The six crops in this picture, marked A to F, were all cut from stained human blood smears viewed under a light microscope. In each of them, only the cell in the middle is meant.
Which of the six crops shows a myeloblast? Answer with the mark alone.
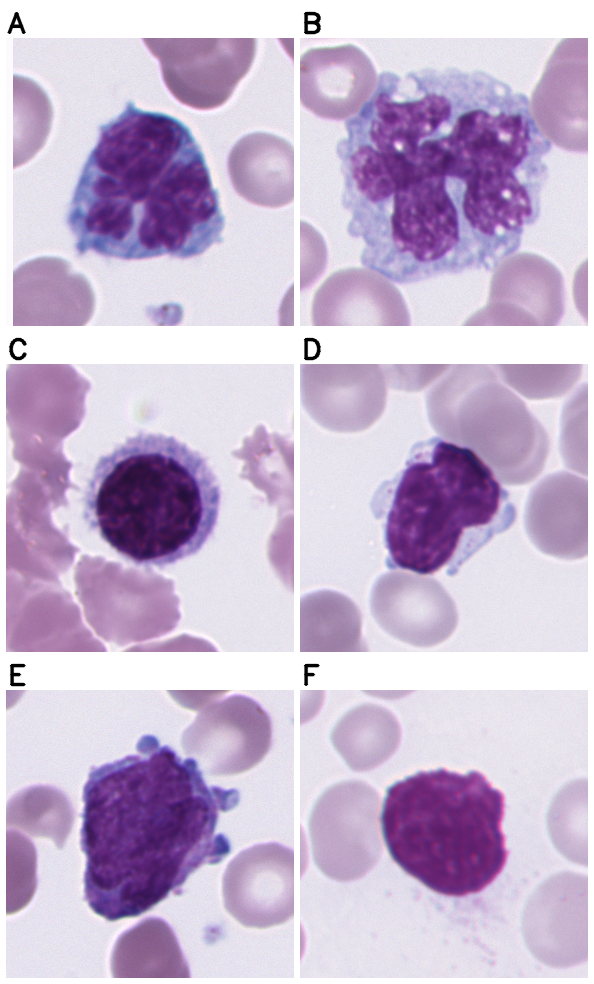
A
